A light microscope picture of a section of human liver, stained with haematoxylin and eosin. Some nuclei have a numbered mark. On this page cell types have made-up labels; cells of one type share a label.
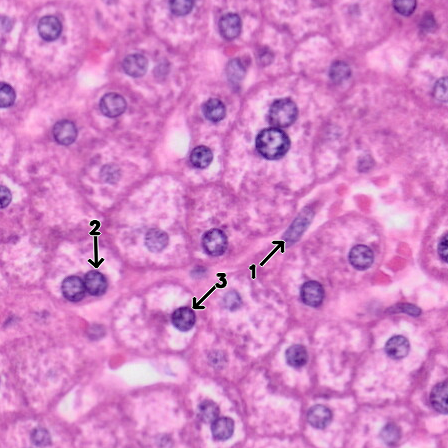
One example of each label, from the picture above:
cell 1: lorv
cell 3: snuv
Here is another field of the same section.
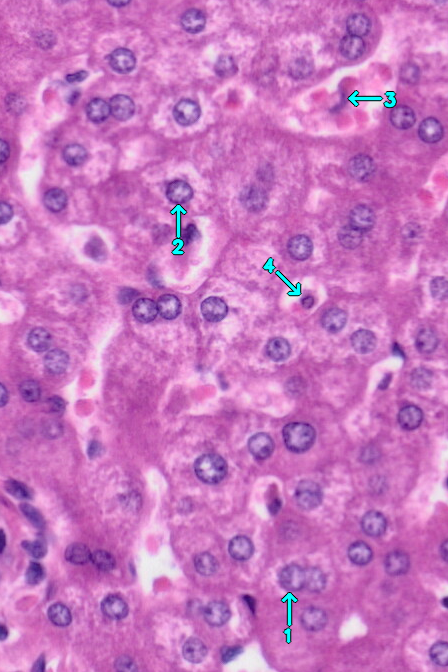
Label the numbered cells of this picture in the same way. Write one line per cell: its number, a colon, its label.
1: snuv
2: snuv
3: lorv
4: lorv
